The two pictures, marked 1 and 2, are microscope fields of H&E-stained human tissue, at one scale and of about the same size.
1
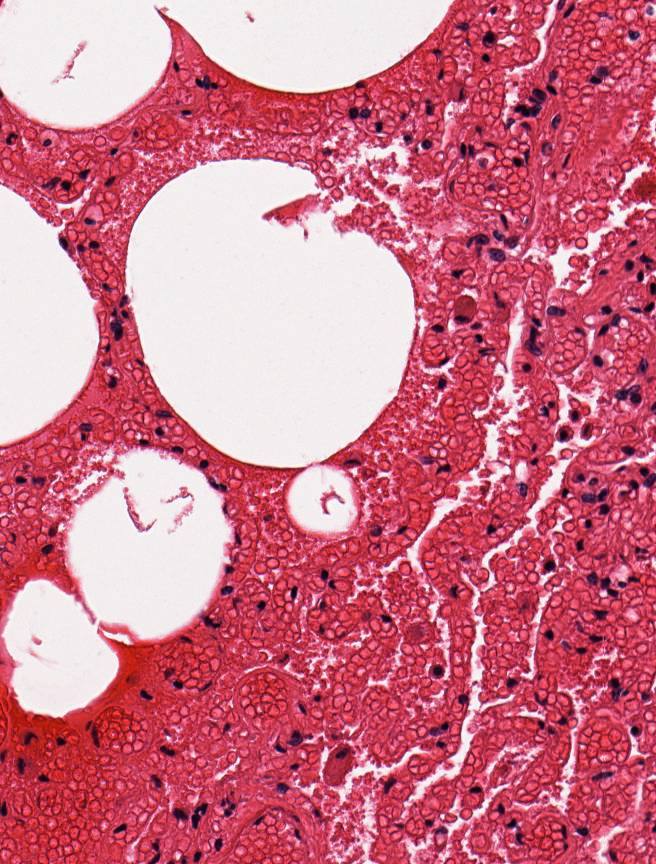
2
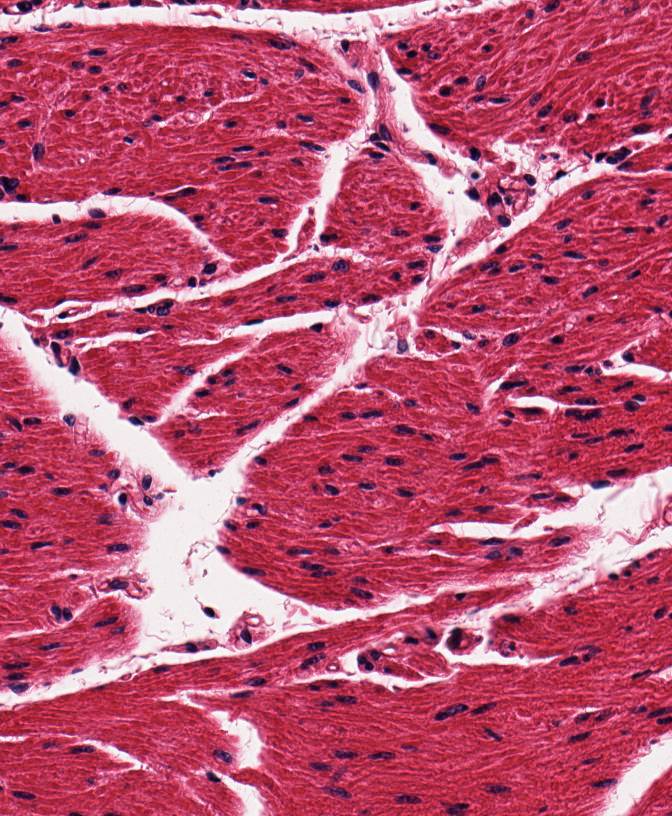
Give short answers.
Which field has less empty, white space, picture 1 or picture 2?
2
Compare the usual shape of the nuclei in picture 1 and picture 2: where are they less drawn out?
1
